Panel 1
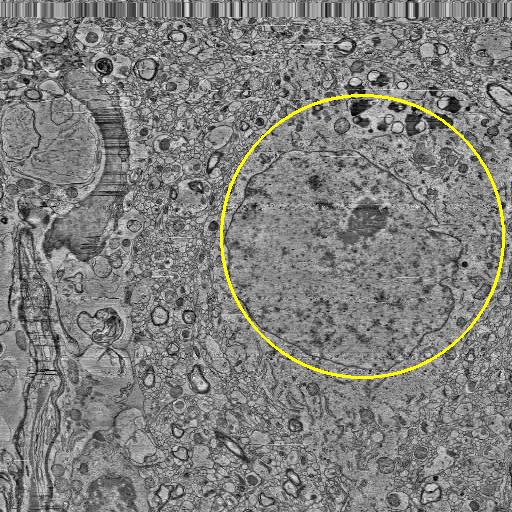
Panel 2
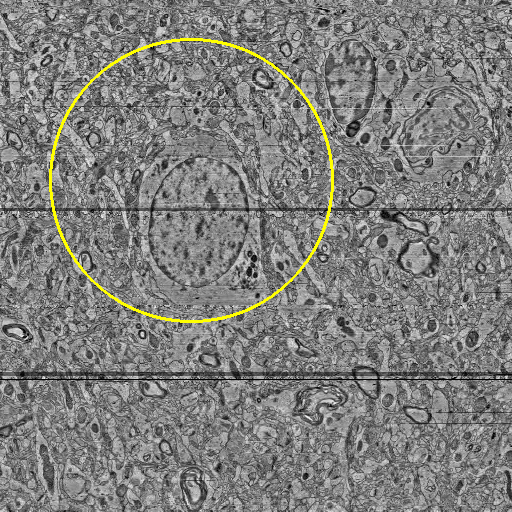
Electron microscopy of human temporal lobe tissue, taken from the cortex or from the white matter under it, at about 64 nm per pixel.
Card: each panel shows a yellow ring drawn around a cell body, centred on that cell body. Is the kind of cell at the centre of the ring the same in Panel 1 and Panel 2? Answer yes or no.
no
